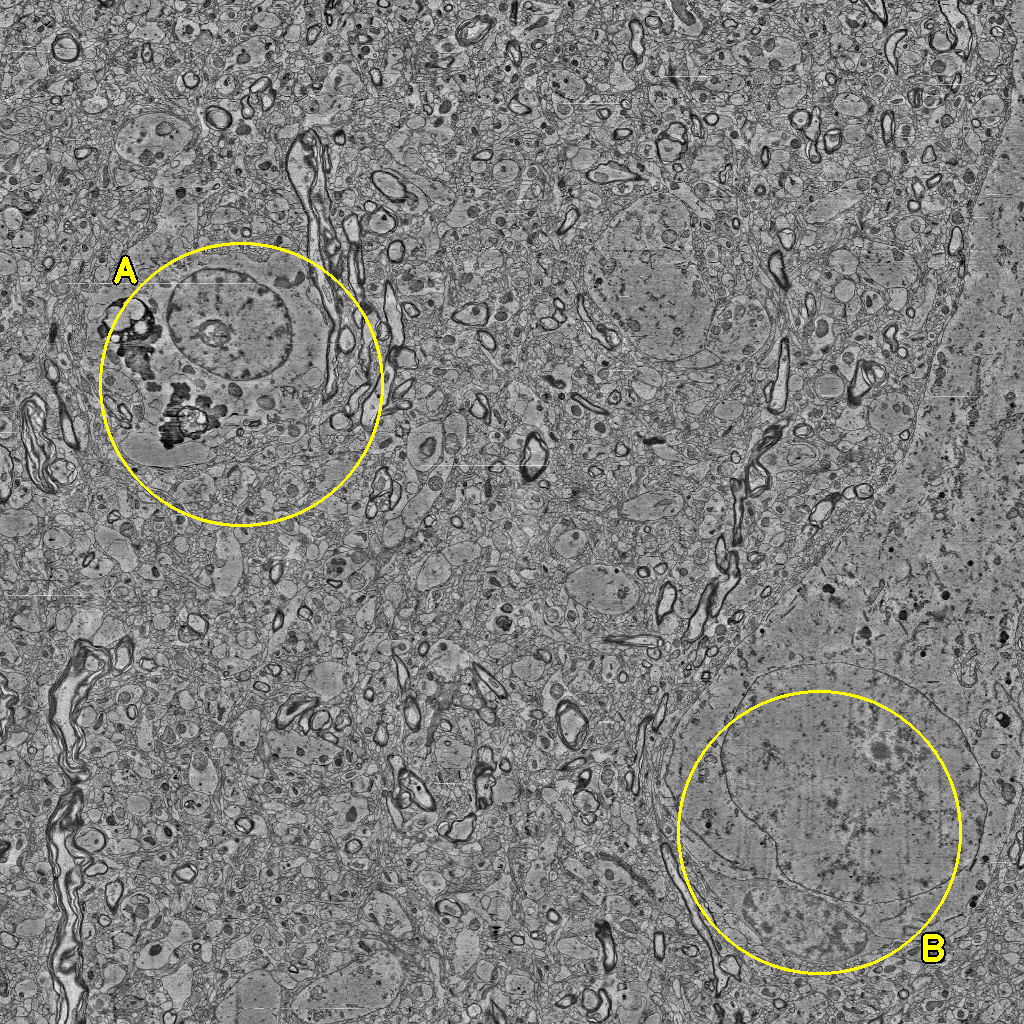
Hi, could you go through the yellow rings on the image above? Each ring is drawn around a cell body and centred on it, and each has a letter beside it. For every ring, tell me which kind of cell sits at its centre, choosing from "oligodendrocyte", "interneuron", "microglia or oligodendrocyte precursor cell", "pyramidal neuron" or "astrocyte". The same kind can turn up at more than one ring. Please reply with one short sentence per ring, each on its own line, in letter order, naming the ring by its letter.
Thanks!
Ring A is centred on an astrocyte.
Ring B is centred on a pyramidal neuron.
